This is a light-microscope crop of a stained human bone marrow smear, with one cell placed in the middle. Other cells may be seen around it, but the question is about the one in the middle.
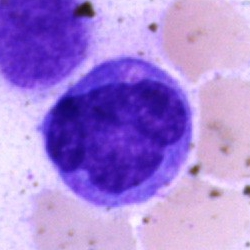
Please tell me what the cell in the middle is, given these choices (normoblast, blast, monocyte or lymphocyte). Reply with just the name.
monocyte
